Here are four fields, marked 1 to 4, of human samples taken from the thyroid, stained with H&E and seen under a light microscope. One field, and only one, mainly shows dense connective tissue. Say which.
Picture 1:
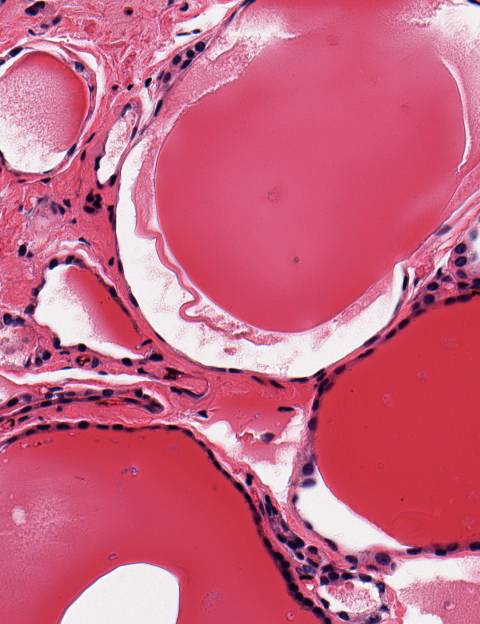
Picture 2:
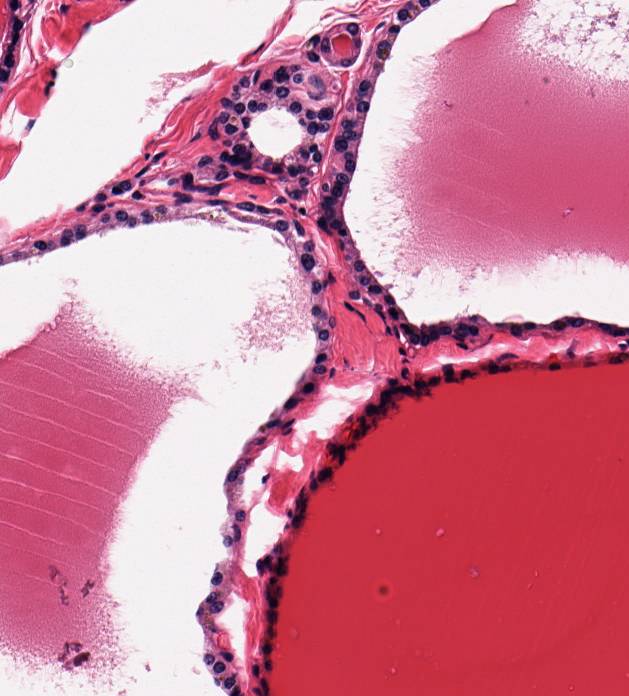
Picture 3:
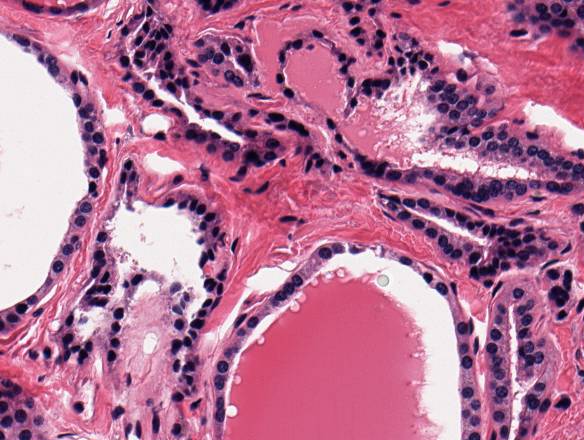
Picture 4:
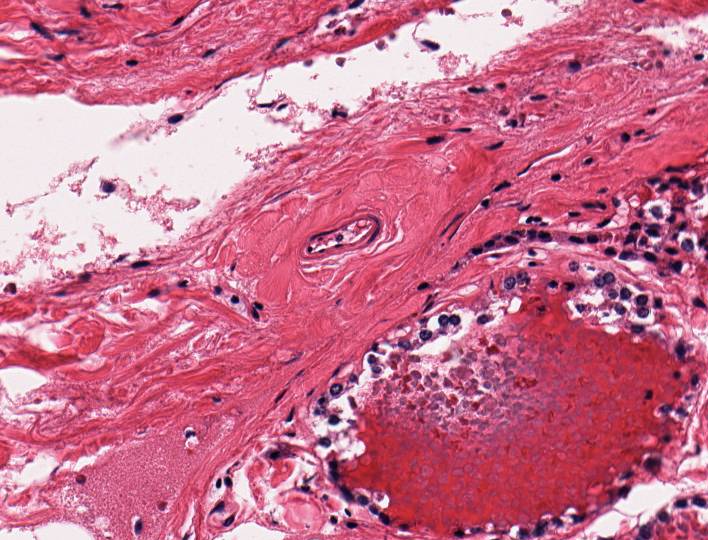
4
